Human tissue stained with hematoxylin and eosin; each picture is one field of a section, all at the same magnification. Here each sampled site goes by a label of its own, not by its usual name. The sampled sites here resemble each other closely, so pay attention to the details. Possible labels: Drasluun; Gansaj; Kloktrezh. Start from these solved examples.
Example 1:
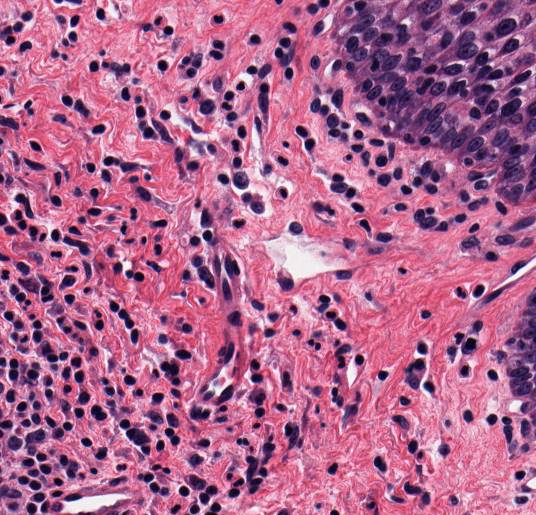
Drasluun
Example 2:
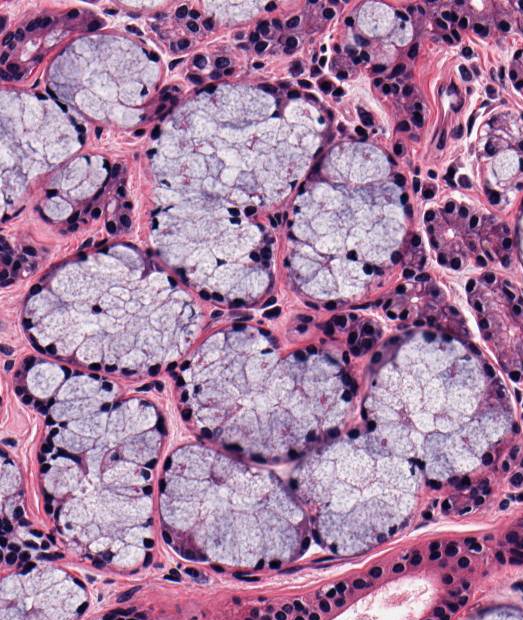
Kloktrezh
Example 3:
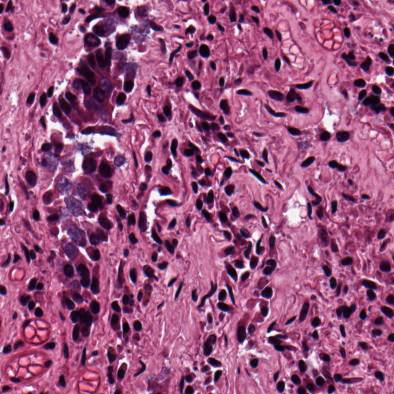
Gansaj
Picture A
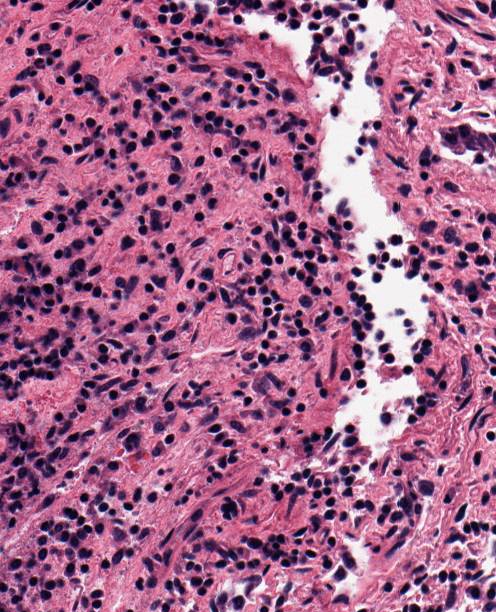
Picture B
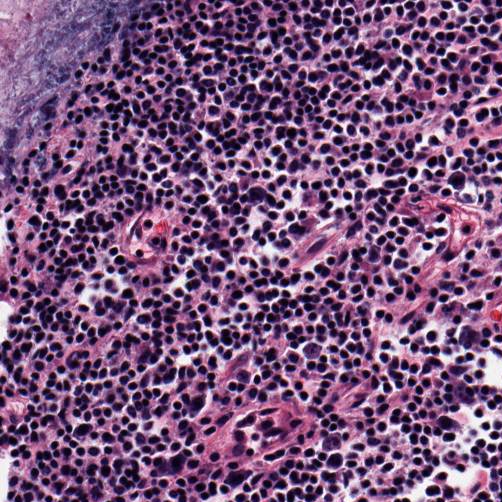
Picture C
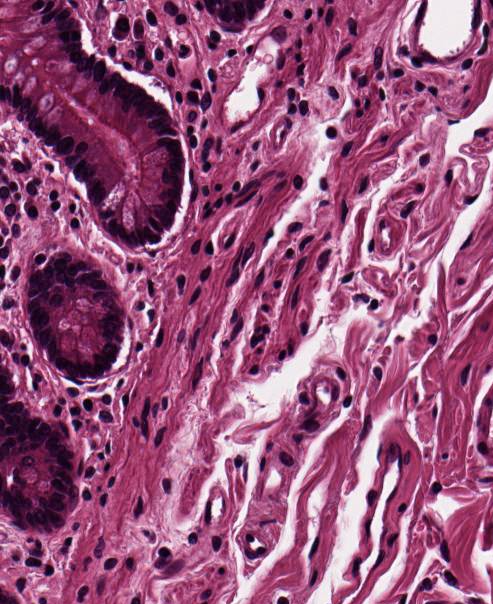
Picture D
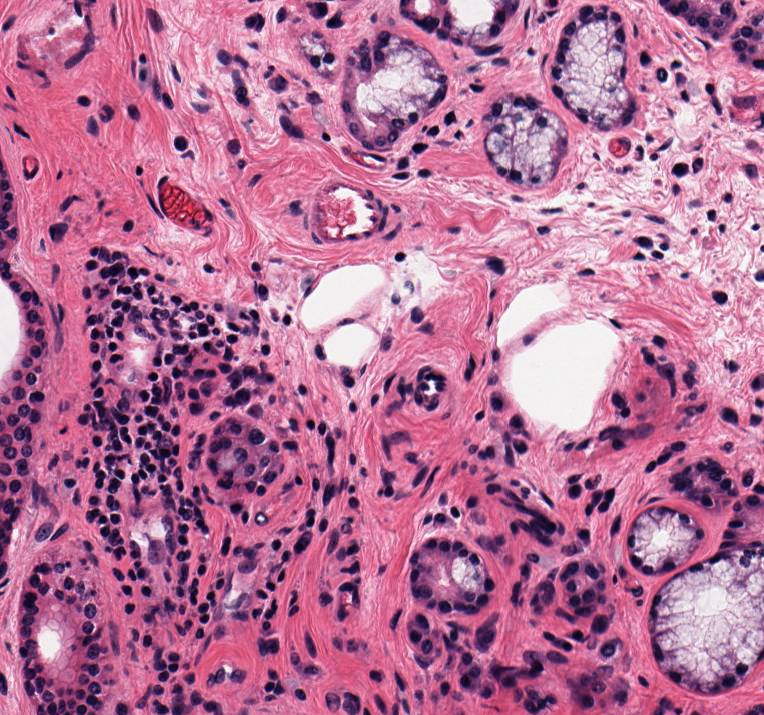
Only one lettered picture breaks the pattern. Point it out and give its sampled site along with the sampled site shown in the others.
Exception: D, showing Kloktrezh. Remaining pictures: Gansaj.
